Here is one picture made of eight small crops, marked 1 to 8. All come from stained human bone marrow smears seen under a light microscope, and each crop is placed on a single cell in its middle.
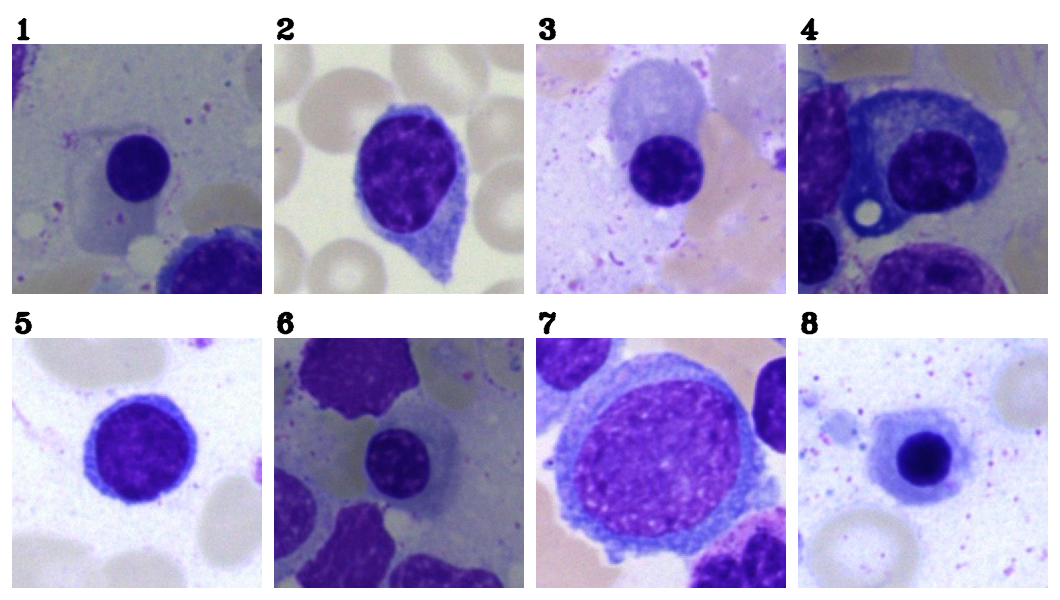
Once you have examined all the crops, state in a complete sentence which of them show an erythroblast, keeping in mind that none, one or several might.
The middle cells of crops 1, 3, 6 and 8 are erythroblasts.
